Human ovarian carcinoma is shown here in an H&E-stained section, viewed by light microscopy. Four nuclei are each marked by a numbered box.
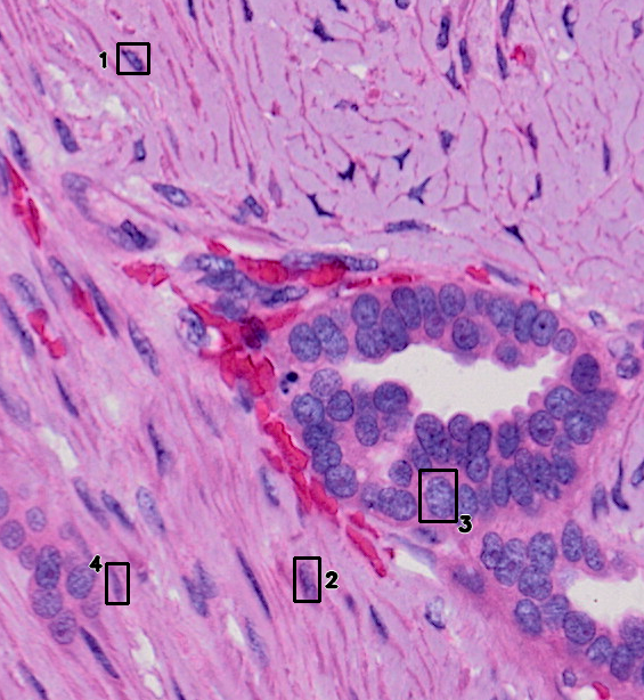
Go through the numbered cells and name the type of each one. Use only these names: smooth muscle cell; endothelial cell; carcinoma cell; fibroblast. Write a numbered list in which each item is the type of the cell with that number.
1. fibroblast
2. fibroblast
3. carcinoma cell
4. fibroblast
